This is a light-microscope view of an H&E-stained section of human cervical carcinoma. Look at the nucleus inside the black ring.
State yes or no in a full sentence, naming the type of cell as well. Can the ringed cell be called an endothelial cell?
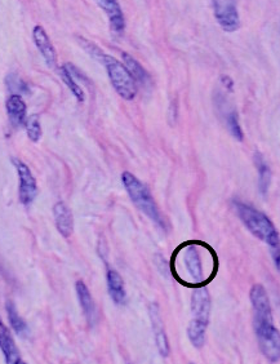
No, put down a smooth muscle cell for the ringed cell, not an endothelial cell.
